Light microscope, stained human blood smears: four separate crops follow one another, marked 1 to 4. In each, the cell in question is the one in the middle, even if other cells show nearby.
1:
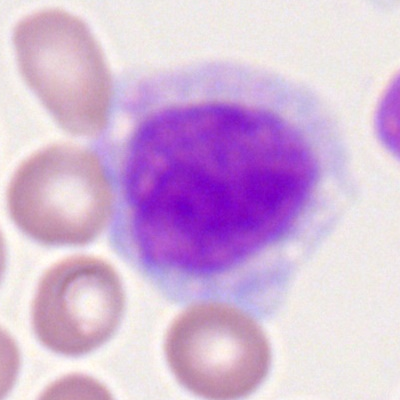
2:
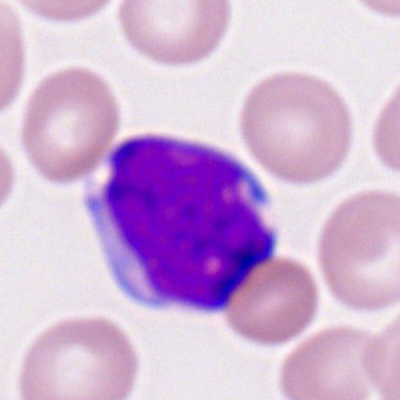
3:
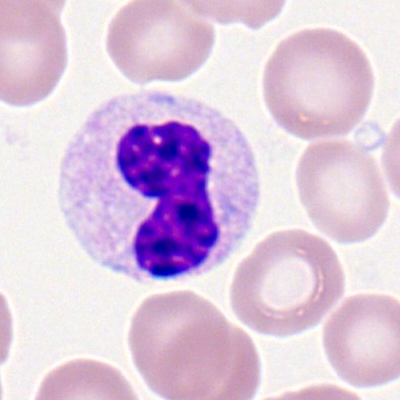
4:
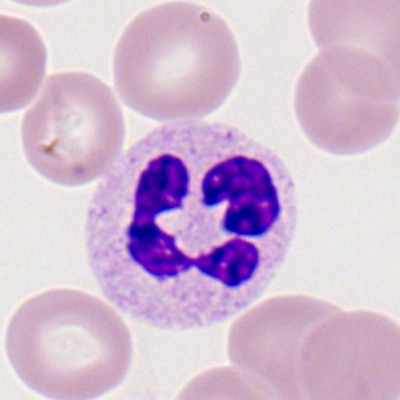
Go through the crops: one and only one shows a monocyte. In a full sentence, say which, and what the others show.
Crop 1 should be logged as a monocyte, while crop 2 is a myeloblast, crop 3 is a band neutrophil and crop 4 is a segmented neutrophil.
